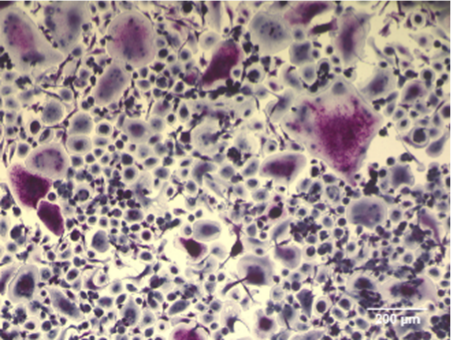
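Osteoclasts appear as numerous large, spread cells of irregular, often triangular or polygonal outline, with intensely purple cytoplasm concentrated in their central parts and a paler, wide peripheral zone. They are scattered among many small mononuclear cells, which are round or elongated with dark blue nuclei and scant cytoplasm, packed densely in the spaces between the giant cells. Some smaller cells also show light purple staining. The giant cells vary considerably in size, and several lie close together at the edges of the field.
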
